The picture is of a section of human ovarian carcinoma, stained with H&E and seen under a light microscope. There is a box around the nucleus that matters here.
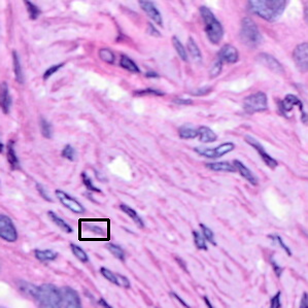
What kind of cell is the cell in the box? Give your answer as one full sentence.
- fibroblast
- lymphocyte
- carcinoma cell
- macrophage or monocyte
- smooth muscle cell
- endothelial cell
Within the stained tissue, the cell in the box is a fibroblast.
